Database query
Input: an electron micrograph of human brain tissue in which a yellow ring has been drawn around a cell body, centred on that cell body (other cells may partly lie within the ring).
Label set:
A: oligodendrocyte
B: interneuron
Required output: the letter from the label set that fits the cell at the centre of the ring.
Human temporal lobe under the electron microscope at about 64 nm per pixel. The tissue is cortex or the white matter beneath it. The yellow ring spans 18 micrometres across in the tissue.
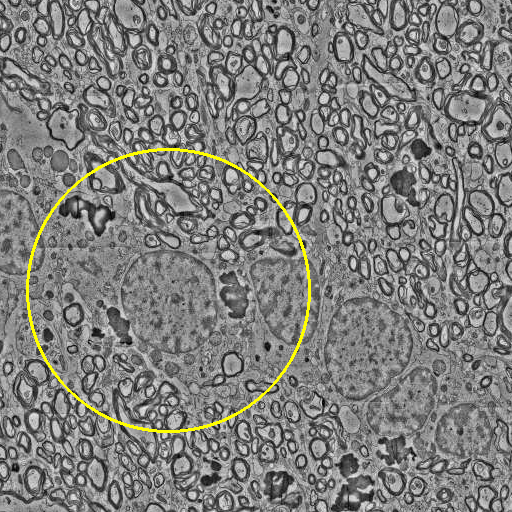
A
